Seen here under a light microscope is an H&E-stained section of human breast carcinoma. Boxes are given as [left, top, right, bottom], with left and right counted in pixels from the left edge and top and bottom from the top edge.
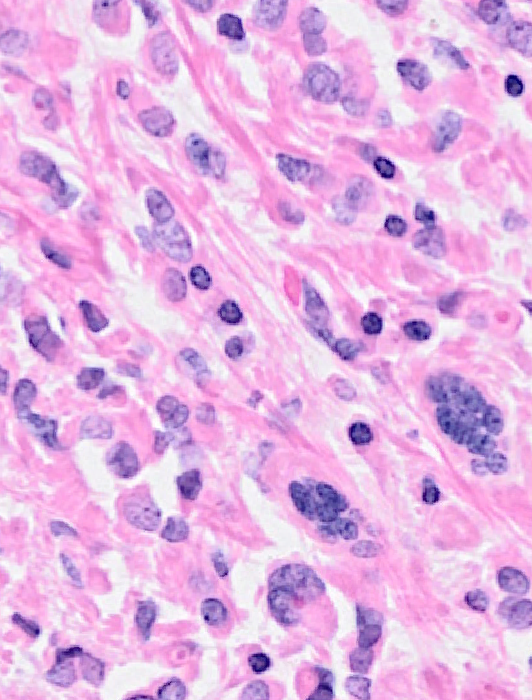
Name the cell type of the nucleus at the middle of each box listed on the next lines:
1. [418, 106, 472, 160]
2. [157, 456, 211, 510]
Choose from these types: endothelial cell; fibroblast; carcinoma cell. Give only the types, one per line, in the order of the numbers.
fibroblast
carcinoma cell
